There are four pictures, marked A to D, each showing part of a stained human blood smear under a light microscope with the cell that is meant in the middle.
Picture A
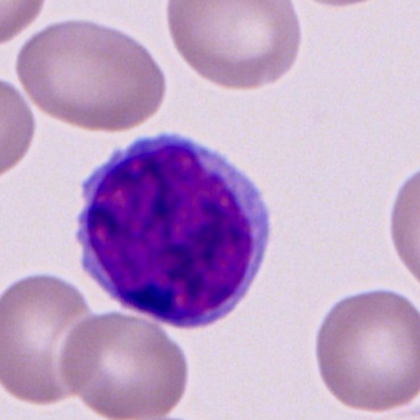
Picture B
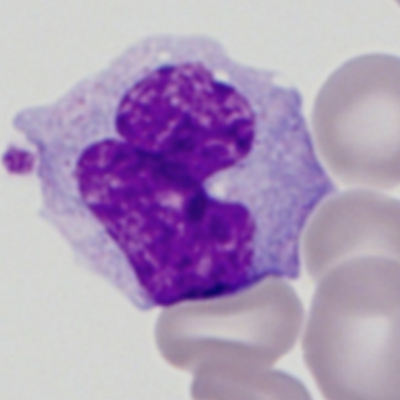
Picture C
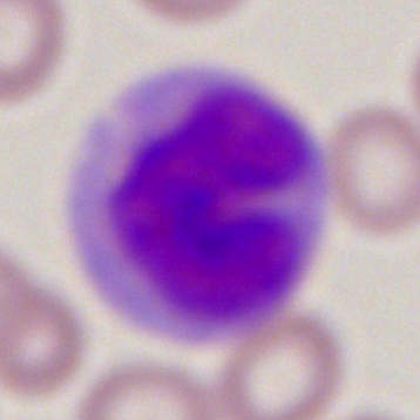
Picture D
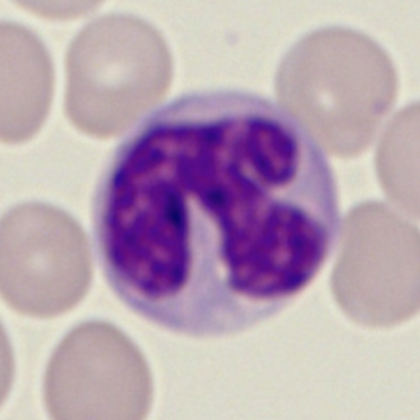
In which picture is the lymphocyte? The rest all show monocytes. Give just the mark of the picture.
A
